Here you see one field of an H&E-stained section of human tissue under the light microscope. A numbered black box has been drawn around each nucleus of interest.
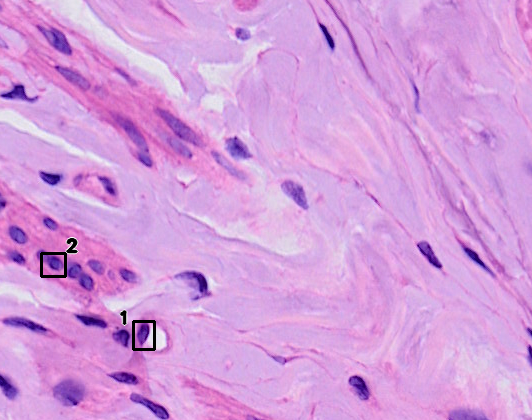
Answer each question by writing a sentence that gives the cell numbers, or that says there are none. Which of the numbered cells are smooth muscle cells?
Of the marked cells, the one numbered 2 is a smooth muscle cell and the rest are not.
